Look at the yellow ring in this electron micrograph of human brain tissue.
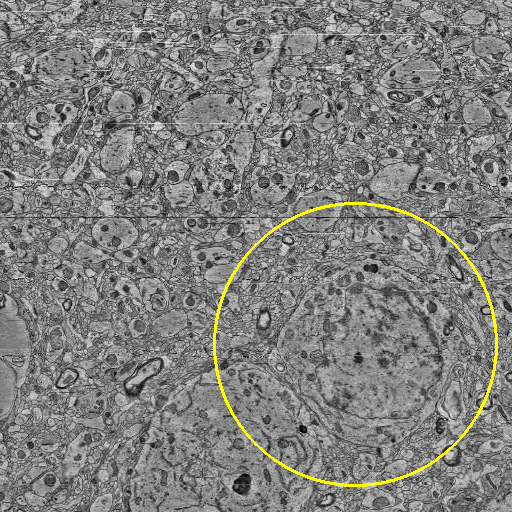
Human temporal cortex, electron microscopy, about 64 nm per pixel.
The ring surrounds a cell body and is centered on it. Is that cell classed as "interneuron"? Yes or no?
Yes, that is its cell type.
